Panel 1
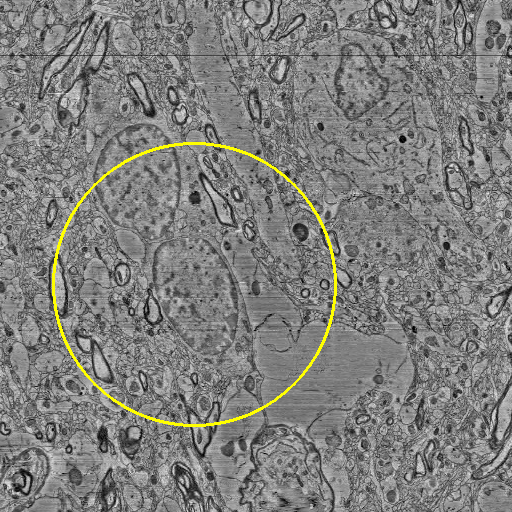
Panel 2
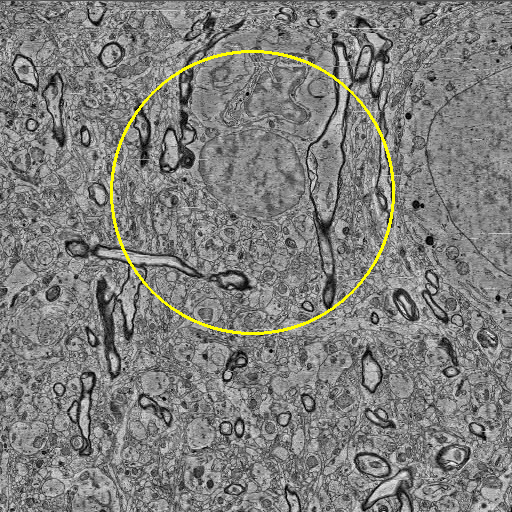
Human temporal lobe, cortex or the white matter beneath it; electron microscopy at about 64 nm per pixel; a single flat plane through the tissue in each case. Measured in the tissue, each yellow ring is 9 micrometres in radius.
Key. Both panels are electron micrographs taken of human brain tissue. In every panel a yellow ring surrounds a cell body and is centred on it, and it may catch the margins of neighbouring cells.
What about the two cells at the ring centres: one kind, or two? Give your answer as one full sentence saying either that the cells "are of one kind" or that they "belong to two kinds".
Across Panels 1 and 2, the two cells at the ring centres are of one kind.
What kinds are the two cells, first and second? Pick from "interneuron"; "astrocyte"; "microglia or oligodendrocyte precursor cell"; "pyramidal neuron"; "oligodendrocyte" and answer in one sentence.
Each one of the two ringed cells is an oligodendrocyte.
